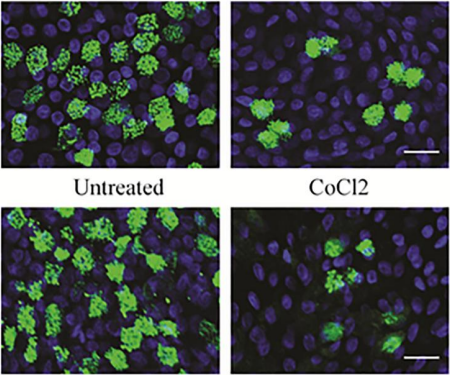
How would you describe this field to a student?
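Epithelial cell sheet seen en face with closely packed oval nuclei in blue, one per cell. A subset of cells carries dense, tufted green cilia over their apical surface, scattered singly among unlabelled cells. In two of the four fields the cilia-bearing cells are clearly fewer and more sparsely spaced, with smaller or fainter green tufts.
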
